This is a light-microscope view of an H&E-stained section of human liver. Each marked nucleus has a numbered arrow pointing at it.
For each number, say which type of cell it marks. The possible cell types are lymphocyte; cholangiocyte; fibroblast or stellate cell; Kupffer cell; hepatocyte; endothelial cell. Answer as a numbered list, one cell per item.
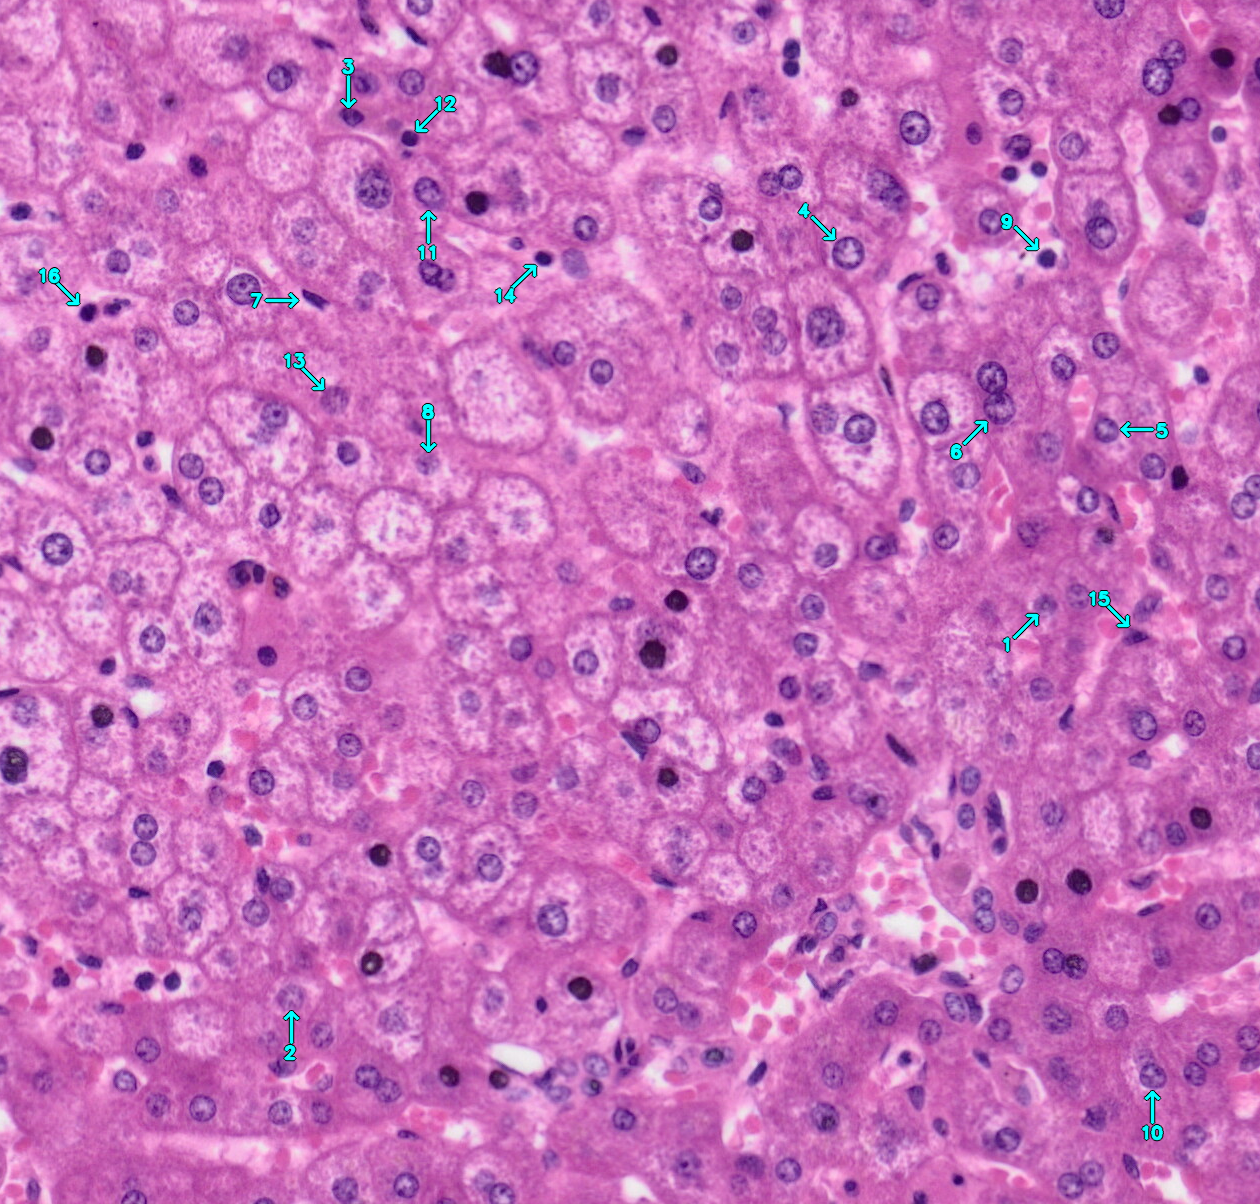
1. hepatocyte
2. hepatocyte
3. Kupffer cell
4. hepatocyte
5. hepatocyte
6. hepatocyte
7. endothelial cell
8. hepatocyte
9. lymphocyte
10. hepatocyte
11. hepatocyte
12. lymphocyte
13. hepatocyte
14. lymphocyte
15. fibroblast or stellate cell
16. lymphocyte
